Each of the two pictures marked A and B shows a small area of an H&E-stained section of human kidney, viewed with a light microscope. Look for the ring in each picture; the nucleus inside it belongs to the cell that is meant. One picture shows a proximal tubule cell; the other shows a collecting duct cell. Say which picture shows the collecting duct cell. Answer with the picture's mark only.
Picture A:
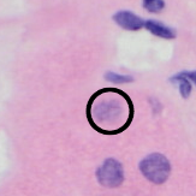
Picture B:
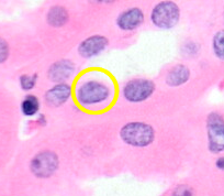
B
